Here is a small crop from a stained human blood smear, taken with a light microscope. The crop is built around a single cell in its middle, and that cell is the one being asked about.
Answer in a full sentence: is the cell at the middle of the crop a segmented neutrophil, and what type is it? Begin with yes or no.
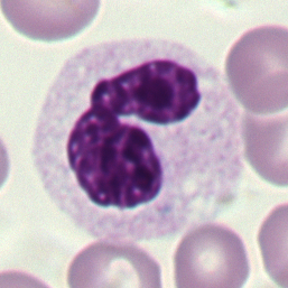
Yes, the middle cell here is a segmented neutrophil.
